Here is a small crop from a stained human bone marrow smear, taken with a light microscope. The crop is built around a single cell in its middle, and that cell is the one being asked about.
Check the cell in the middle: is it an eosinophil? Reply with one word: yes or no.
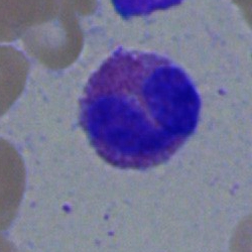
yes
